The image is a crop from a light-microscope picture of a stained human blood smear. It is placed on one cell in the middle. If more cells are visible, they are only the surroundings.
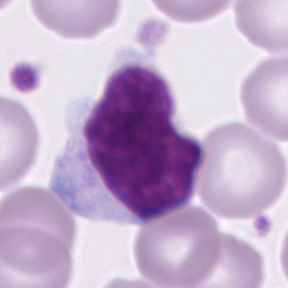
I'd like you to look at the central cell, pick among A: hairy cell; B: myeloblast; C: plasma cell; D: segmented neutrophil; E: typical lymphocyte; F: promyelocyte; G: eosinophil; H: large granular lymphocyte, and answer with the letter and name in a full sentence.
The cell centred in the crop is a large granular lymphocyte, and the correct option is thus H.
